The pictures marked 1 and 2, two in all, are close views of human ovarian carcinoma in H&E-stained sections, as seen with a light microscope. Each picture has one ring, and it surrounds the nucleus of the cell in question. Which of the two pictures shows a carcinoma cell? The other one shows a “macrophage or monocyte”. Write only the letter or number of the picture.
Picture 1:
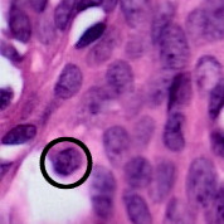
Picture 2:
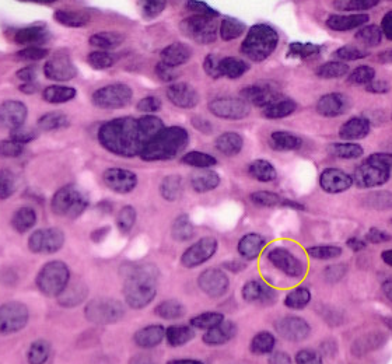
2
